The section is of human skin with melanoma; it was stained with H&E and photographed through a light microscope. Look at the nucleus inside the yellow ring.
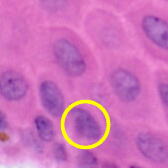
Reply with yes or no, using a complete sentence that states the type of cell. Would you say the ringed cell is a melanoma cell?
No, the ringed cell is not a melanoma cell; a keratinocyte is what it is.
